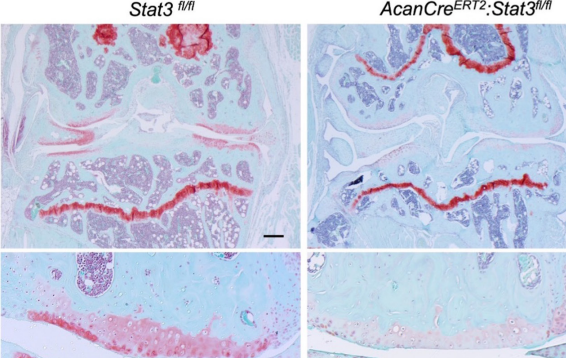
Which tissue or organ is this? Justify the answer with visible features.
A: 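Two bone ends face each other across a narrow joint space. Each bone end is capped by a cartilage layer. Trabecular bone with marrow lies beneath the cartilage.
Answer: knee joints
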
